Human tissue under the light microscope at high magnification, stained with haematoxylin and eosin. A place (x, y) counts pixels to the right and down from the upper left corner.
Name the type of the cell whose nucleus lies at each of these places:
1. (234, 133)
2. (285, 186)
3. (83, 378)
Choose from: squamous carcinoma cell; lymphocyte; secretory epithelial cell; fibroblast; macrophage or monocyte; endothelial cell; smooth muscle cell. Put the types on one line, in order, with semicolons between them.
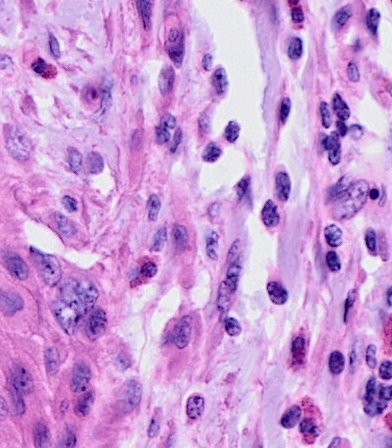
lymphocyte; lymphocyte; squamous carcinoma cell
